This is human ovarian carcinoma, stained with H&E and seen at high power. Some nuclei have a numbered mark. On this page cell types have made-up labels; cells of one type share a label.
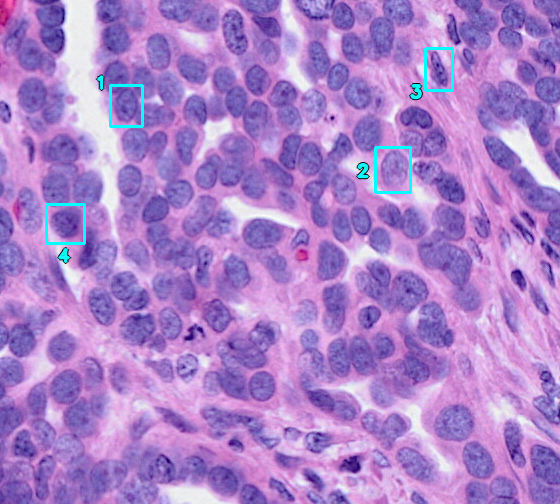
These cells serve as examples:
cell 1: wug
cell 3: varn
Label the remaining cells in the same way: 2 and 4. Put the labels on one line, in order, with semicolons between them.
wug; wug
